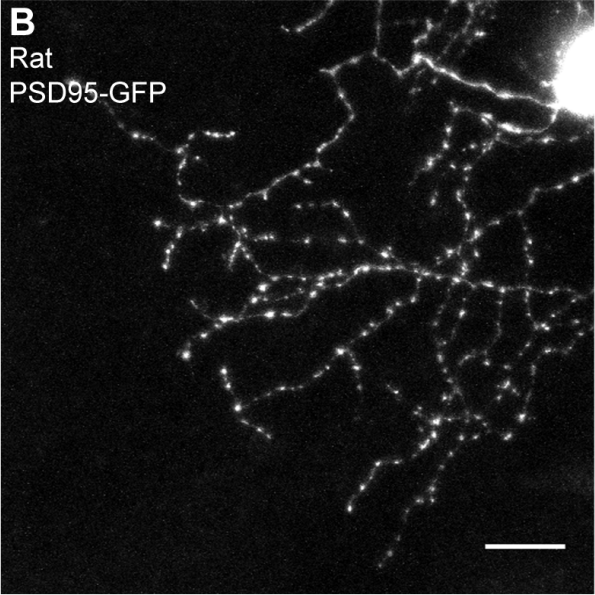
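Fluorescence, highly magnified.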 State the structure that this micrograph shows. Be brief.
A: dendritic arbor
